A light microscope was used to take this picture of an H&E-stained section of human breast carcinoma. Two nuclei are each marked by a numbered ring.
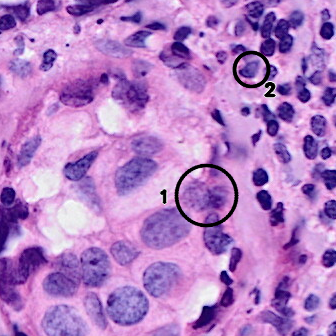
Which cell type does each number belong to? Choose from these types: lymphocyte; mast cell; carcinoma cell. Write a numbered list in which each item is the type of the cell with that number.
1. carcinoma cell
2. lymphocyte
